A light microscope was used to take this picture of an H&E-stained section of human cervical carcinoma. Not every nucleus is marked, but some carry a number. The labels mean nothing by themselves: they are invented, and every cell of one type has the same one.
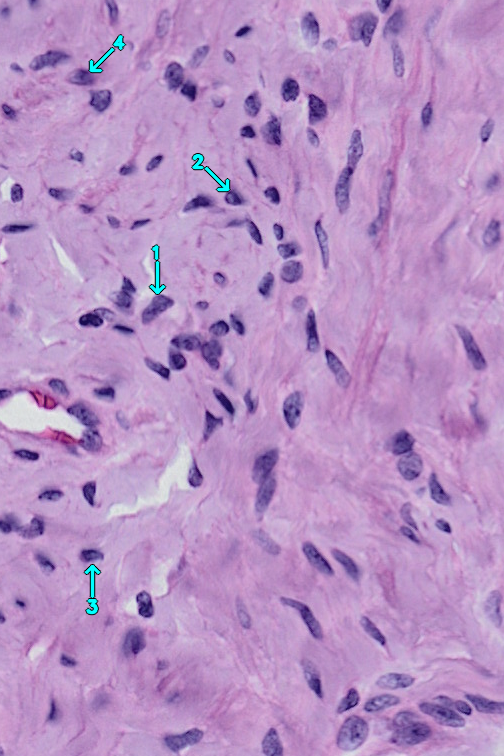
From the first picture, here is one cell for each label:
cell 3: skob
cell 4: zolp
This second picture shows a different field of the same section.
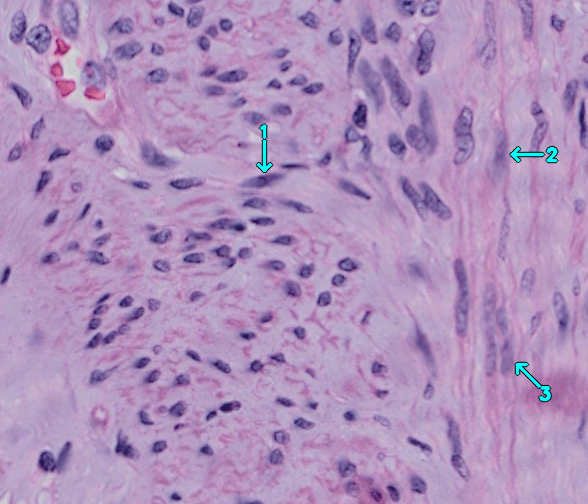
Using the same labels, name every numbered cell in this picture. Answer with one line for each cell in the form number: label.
1: skob
2: zolp
3: zolp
